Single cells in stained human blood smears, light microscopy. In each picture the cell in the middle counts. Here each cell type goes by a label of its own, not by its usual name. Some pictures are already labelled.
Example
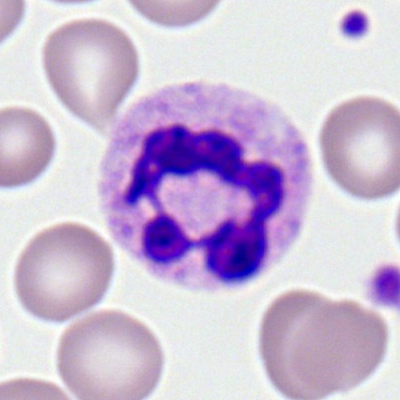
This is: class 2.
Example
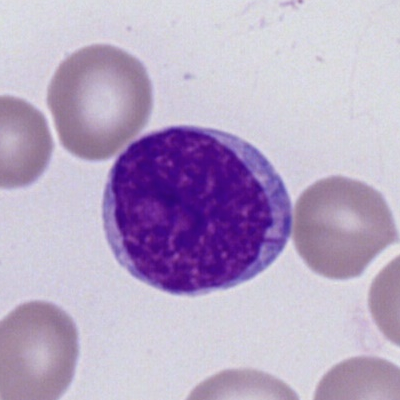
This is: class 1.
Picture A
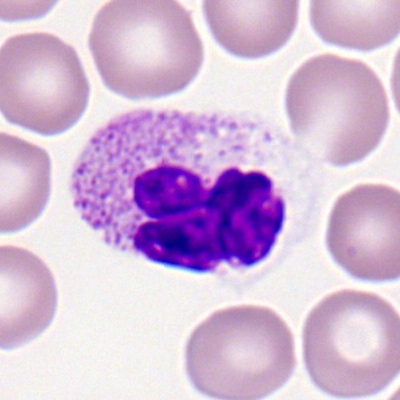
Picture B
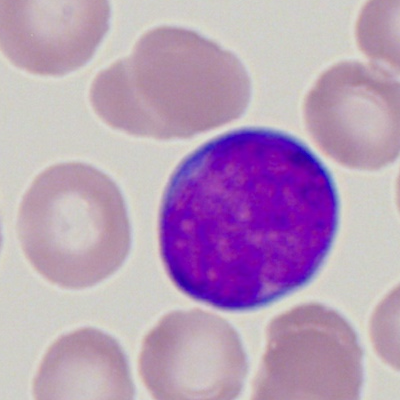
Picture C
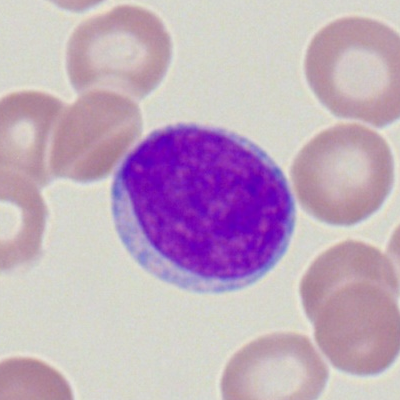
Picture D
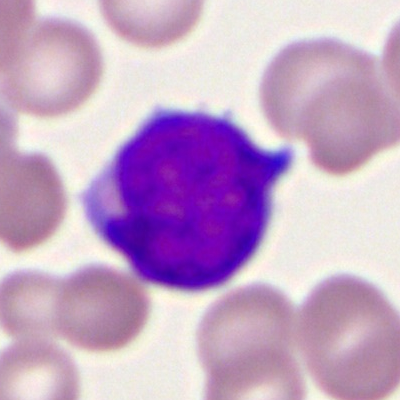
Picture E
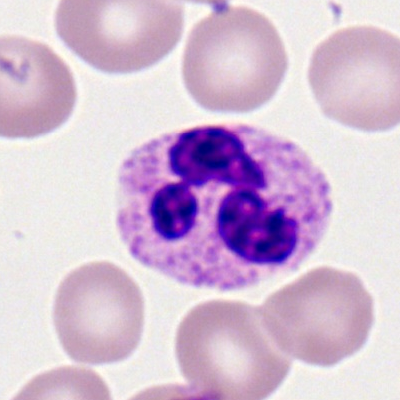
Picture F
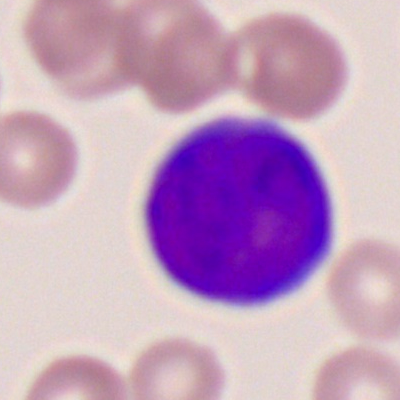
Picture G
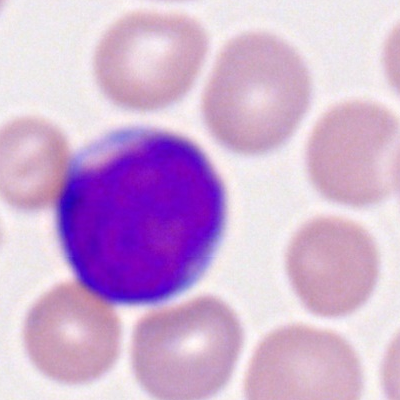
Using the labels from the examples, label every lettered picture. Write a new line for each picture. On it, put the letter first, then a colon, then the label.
A: class 2.
B: class 1.
C: class 1.
D: class 1.
E: class 2.
F: class 1.
G: class 1.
